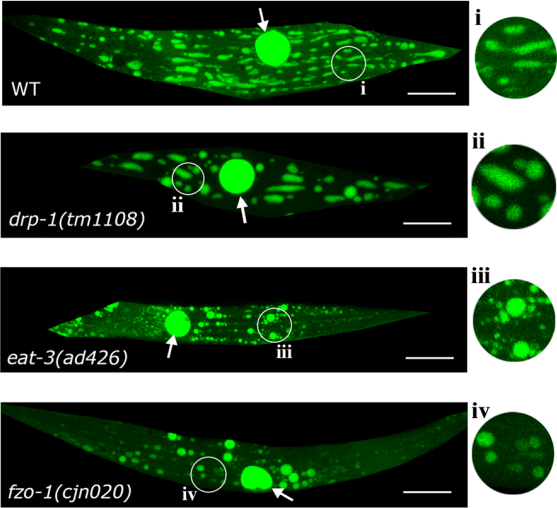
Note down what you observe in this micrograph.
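Four long, spindle-shaped muscle cells are shown on black, each with one large, round, bright green nucleus near its middle, marked by a white arrow, and many smaller green objects scattered through the cytoplasm. In the top cells these mitochondria are mostly elongated rods lying along the cell's long axis, while in the lower two cells they are mostly small round dots, as seen in the circled enlargements, consistent with a more fragmented mitochondrial network.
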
